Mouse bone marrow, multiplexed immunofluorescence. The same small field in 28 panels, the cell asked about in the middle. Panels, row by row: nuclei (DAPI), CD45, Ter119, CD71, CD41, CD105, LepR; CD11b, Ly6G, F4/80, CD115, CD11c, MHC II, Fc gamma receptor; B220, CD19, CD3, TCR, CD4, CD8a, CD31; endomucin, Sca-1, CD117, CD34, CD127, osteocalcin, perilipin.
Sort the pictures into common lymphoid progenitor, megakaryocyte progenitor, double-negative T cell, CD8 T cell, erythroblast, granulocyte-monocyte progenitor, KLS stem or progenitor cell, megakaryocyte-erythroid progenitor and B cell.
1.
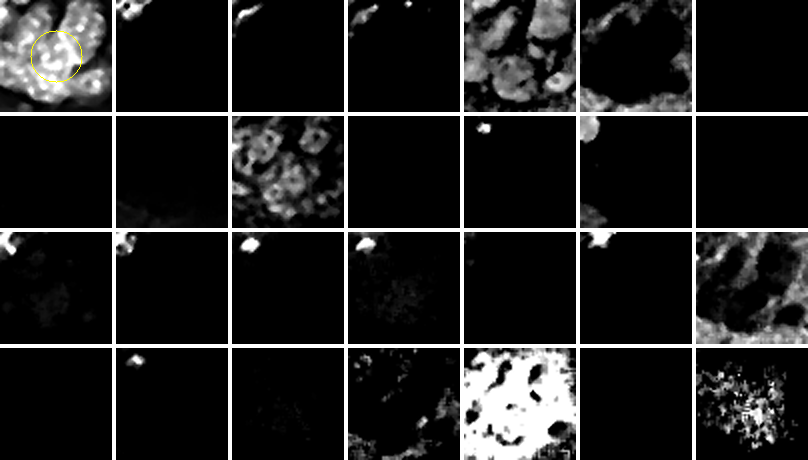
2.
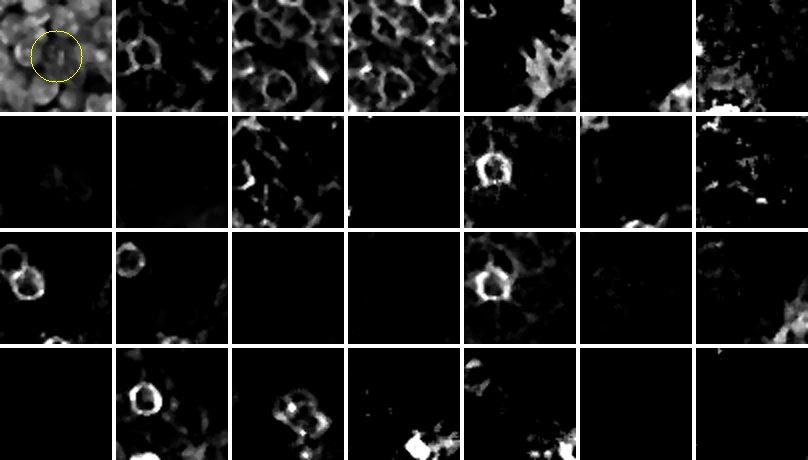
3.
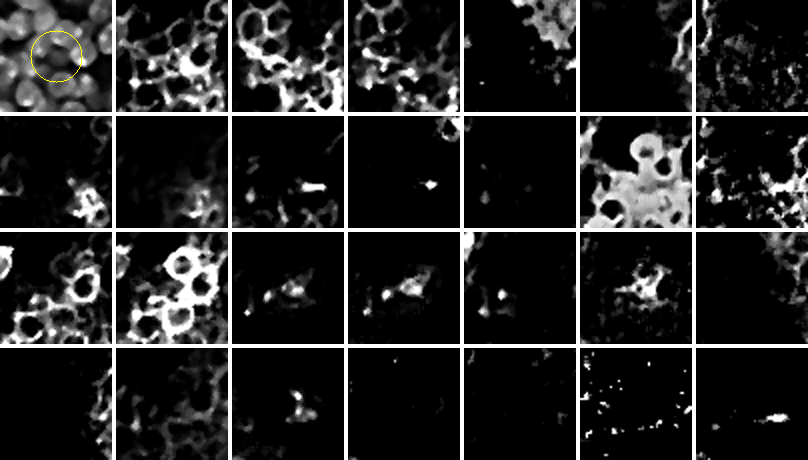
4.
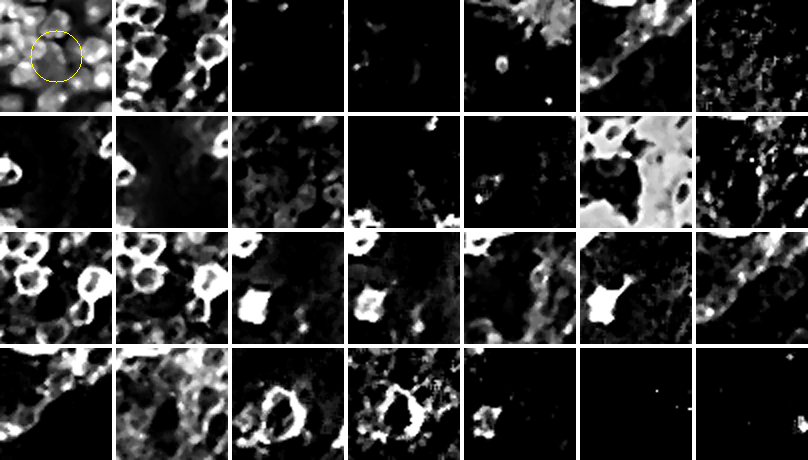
Common lymphoid progenitors: 1
KLS stem or progenitor cells: 2
CD8 T cells: 3
Granulocyte-monocyte progenitors: 4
